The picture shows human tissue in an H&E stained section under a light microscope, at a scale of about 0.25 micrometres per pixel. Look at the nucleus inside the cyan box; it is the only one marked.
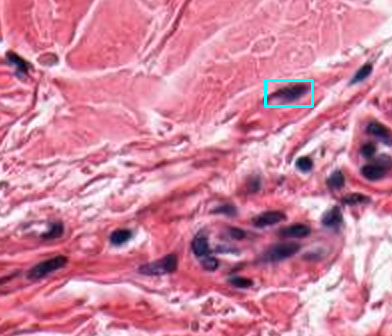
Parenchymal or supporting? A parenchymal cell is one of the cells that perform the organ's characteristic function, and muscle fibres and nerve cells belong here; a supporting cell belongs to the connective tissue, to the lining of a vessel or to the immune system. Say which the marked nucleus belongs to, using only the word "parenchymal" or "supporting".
supporting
